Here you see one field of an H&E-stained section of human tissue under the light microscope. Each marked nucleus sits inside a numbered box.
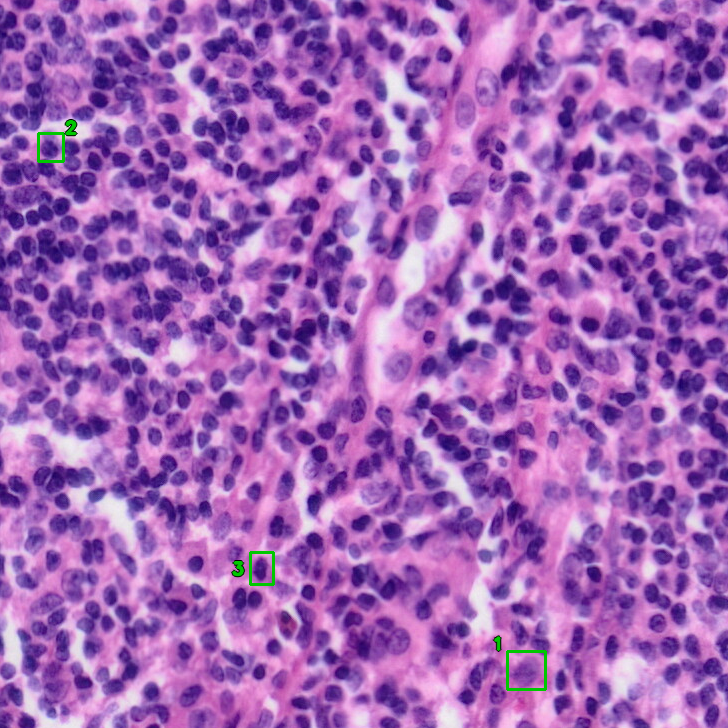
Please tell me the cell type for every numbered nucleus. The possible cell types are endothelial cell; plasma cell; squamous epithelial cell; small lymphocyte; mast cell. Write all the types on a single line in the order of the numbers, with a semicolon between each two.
endothelial cell; small lymphocyte; plasma cell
